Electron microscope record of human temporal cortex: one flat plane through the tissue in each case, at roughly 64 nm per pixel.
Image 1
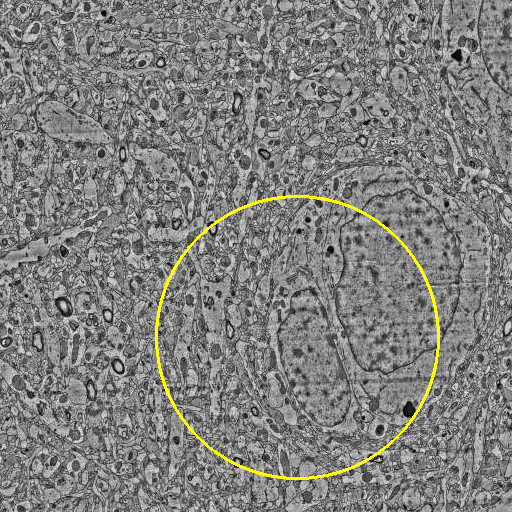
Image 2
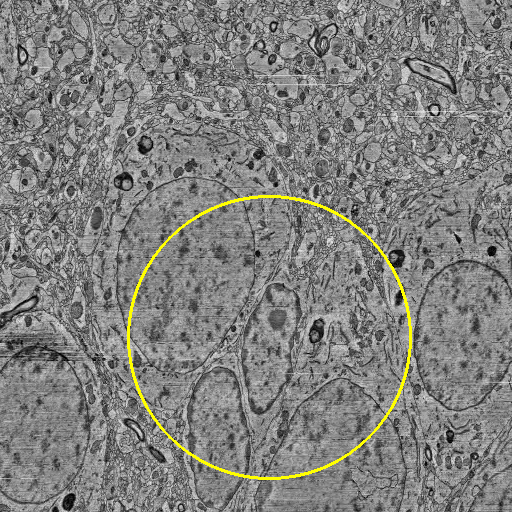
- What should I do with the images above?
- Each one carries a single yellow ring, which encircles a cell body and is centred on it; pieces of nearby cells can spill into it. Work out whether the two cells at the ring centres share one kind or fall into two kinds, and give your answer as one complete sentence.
The ring-centre cells of Image 1 and Image 2 share one kind.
